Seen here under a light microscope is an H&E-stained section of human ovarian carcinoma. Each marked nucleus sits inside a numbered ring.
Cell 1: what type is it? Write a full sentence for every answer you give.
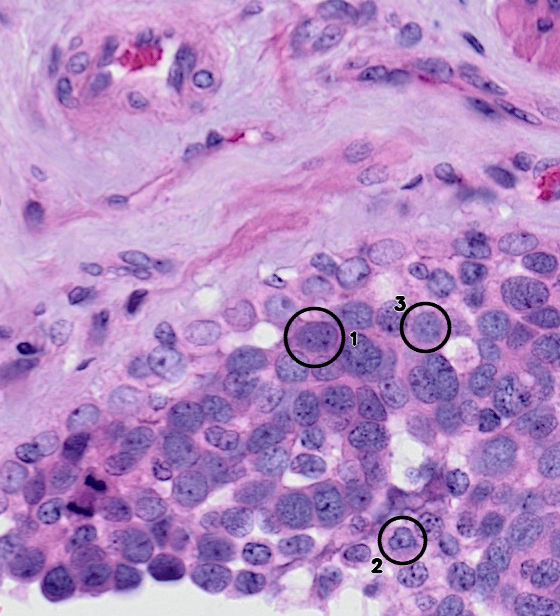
Among the marked cells, number 1 is a carcinoma cell.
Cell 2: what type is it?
The correct answer for cell 2 is a macrophage or monocyte.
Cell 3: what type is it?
The marked cell with the number 3 is recognised as a carcinoma cell.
